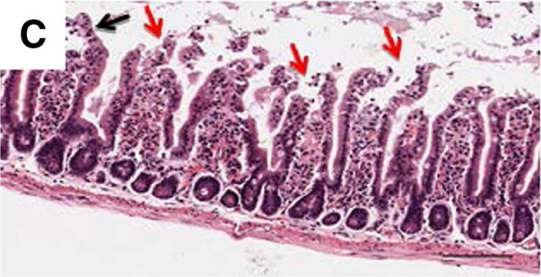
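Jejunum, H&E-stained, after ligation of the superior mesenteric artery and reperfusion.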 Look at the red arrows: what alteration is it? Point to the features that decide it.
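The tips of the villi at the red arrows lack a continuous epithelial lining. Detached cells and debris lie in the lumen above the villi. On this evidence: denuding of villi tips.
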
